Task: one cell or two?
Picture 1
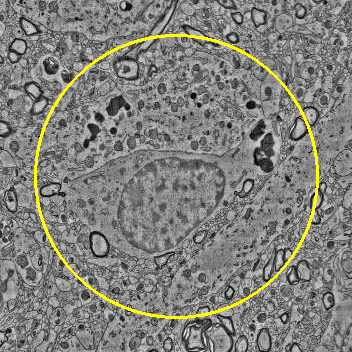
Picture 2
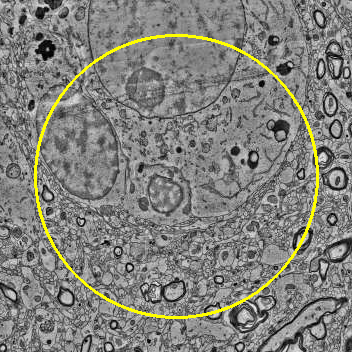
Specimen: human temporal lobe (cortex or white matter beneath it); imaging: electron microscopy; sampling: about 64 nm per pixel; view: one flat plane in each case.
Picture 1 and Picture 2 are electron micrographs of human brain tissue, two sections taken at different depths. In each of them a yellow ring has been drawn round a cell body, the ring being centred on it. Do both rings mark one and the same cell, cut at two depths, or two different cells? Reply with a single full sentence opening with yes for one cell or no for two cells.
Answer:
No, the two rings indicate two different cells, not one.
